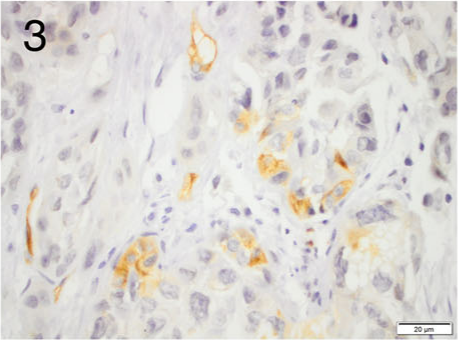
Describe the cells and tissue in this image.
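Tumour cells with large, irregular pale nuclei are set among fibrous stroma with small dark spindle nuclei. Only scattered clusters of tumour cells show brown stain along their membranes, while most tumour cells remain unstained. Thin brown-stained elongated structures also run through the stroma.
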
